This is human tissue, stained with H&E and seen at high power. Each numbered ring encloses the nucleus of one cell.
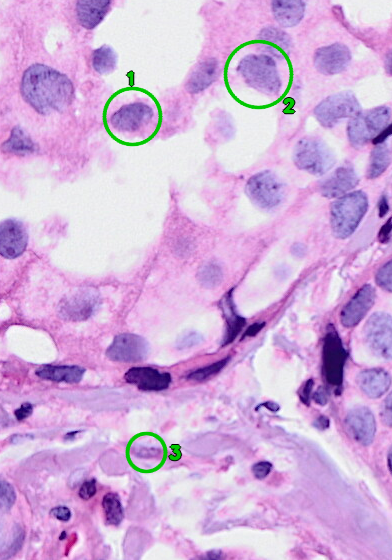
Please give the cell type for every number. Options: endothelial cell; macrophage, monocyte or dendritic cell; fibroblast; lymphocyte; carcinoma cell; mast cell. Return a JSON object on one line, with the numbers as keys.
{"1": "carcinoma cell", "2": "carcinoma cell", "3": "fibroblast"}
